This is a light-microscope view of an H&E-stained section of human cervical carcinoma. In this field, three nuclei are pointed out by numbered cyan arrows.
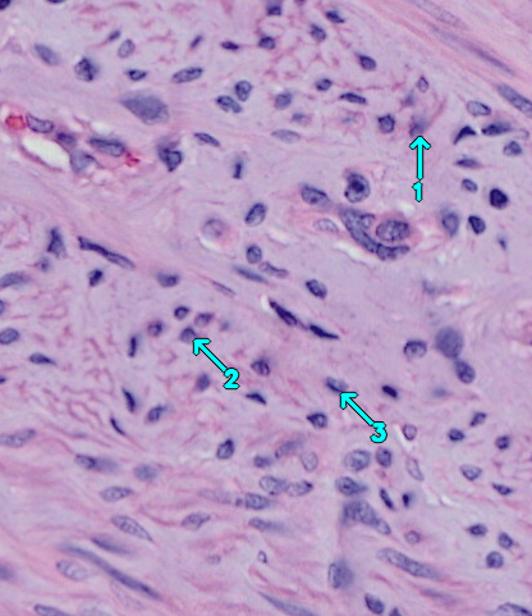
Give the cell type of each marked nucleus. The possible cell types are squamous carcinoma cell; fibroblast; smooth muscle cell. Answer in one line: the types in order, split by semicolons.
smooth muscle cell; smooth muscle cell; fibroblast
